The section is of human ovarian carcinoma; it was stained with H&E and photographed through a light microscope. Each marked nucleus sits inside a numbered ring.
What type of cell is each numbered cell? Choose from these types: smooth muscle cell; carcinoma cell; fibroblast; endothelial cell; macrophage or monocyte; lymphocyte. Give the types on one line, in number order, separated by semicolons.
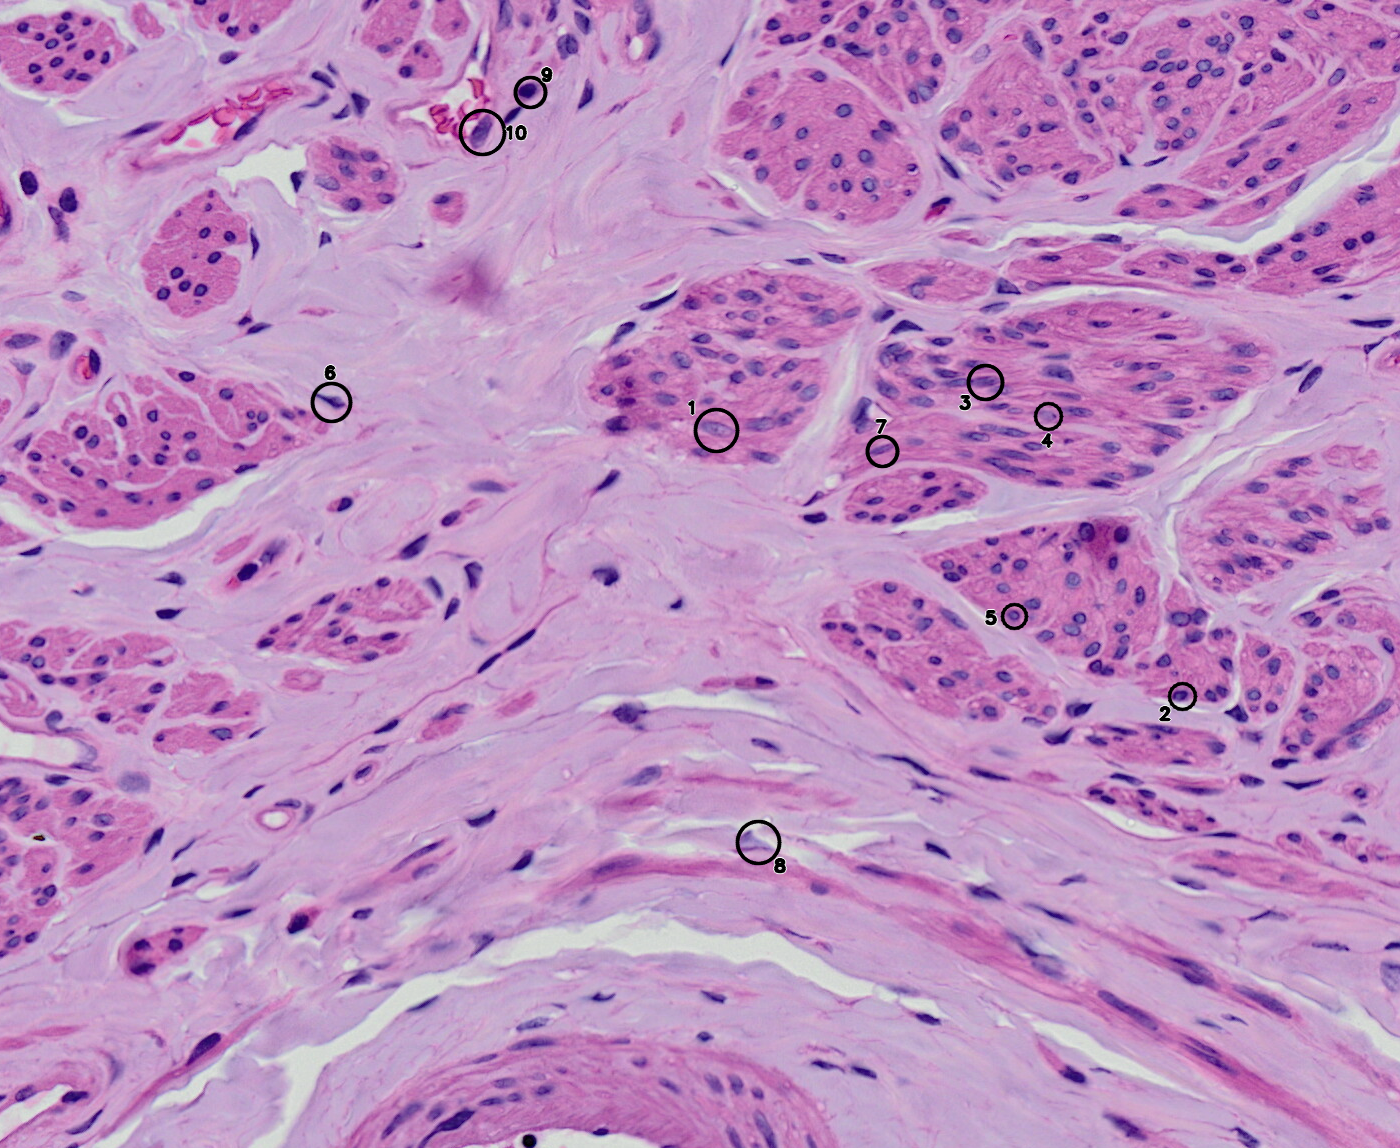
smooth muscle cell; smooth muscle cell; smooth muscle cell; smooth muscle cell; smooth muscle cell; fibroblast; smooth muscle cell; fibroblast; lymphocyte; endothelial cell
